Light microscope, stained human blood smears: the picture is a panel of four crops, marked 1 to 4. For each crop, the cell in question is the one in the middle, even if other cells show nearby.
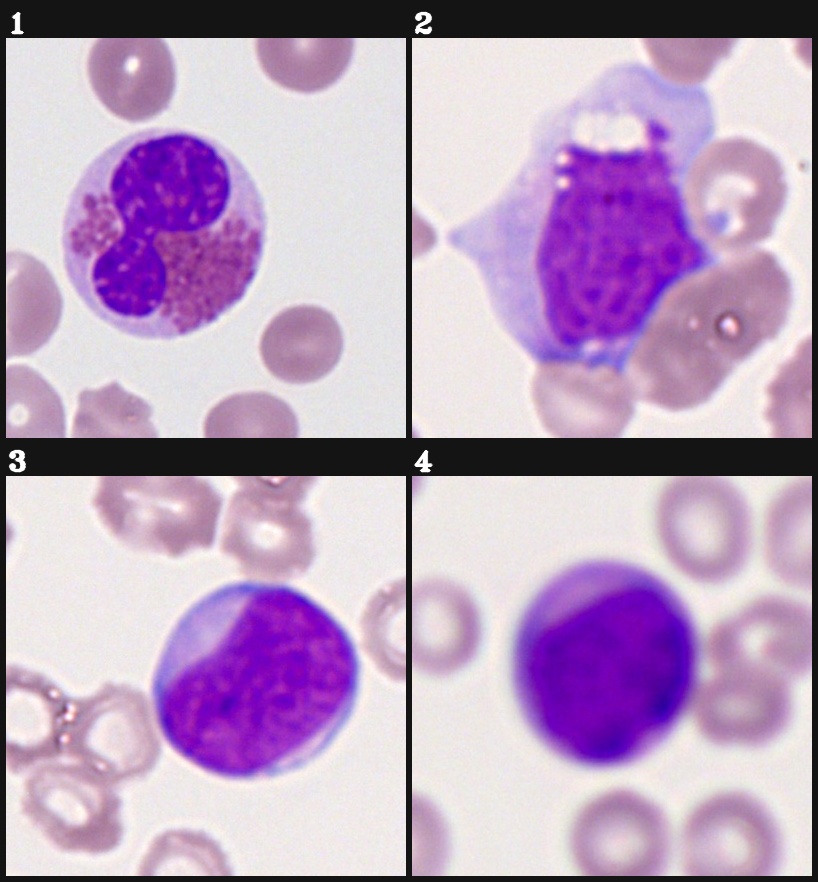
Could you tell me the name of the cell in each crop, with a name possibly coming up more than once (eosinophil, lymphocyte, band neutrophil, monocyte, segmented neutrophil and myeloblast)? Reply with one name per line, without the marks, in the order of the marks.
eosinophil
monocyte
myeloblast
myeloblast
